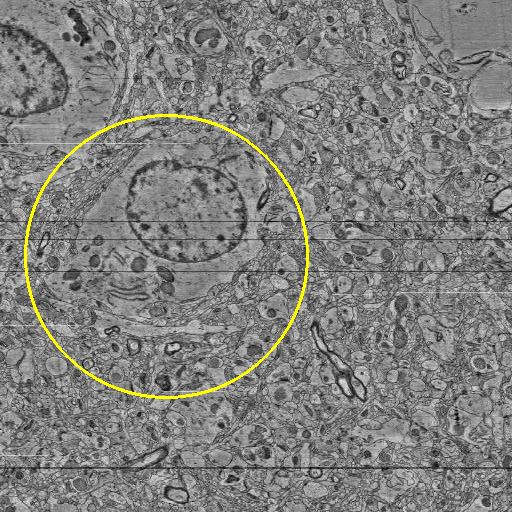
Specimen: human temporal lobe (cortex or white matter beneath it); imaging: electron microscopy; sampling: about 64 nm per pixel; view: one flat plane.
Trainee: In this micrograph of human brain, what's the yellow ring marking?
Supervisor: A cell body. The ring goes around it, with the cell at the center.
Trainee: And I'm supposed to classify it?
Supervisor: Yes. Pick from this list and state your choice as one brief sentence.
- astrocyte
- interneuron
The cell at the ring's center is an astrocyte.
